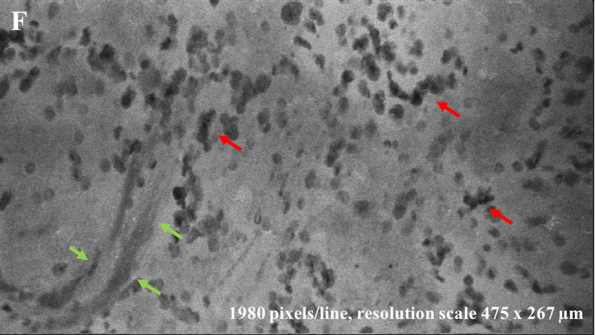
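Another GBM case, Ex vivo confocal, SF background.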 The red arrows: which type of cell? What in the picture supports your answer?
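Pleomorphic cells. Marked profiles are dark on a brighter background. Marked profiles are irregular and vary in shape. Some lie in small clusters.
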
